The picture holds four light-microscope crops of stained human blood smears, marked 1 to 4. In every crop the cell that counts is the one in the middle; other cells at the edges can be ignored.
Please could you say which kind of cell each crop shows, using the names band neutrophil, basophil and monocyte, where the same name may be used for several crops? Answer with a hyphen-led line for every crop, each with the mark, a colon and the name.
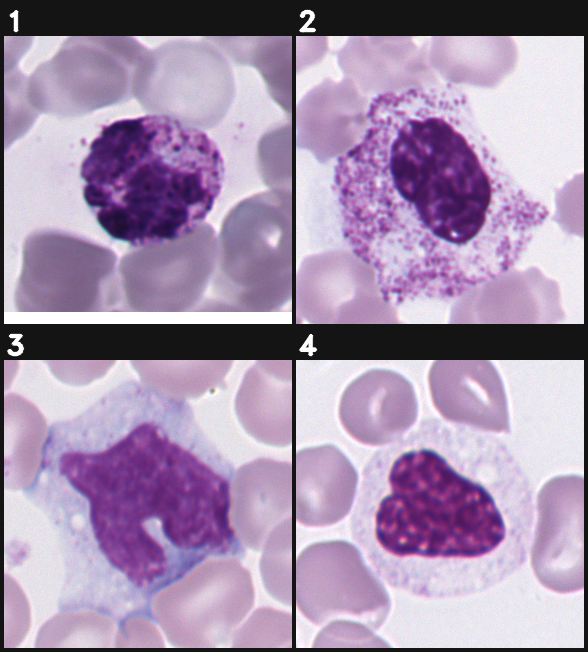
- 1: basophil
- 2: band neutrophil
- 3: monocyte
- 4: band neutrophil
